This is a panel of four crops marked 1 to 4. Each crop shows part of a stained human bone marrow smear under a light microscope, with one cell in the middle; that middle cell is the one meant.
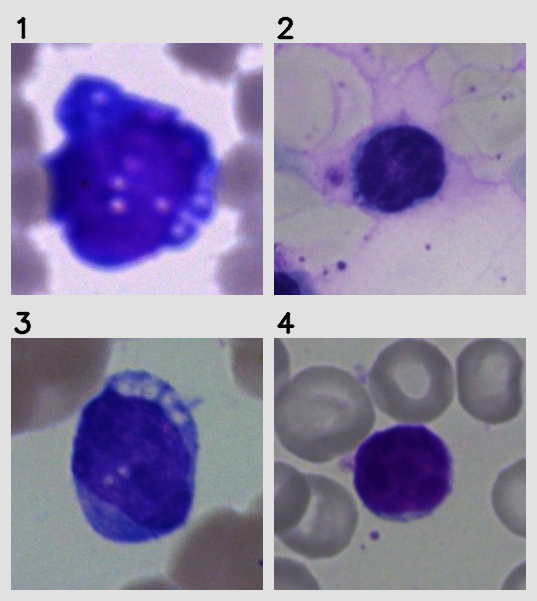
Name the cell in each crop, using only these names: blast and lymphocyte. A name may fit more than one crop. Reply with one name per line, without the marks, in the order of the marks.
blast
lymphocyte
blast
lymphocyte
